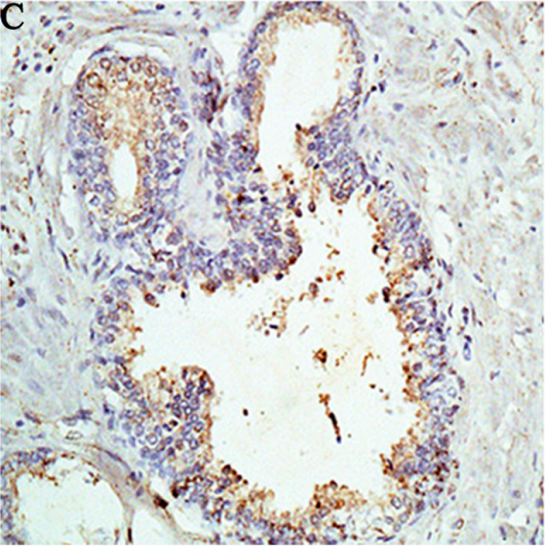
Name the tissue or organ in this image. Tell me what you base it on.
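Large glands with wide open lumens and folded epithelial lining. Glands are separated by fibromuscular stroma. Epithelium lines the glands in an orderly layer. On this evidence: benign prostate tissue.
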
